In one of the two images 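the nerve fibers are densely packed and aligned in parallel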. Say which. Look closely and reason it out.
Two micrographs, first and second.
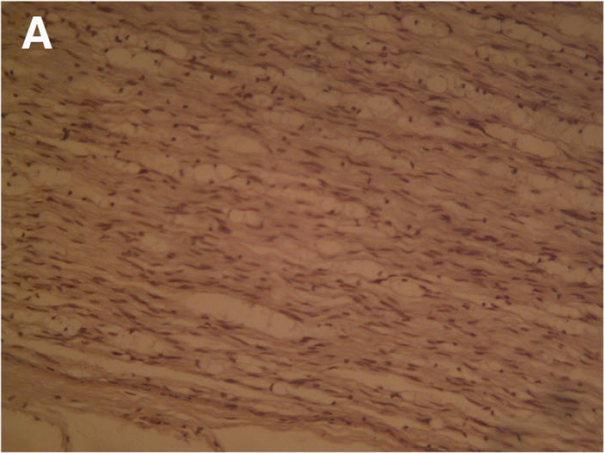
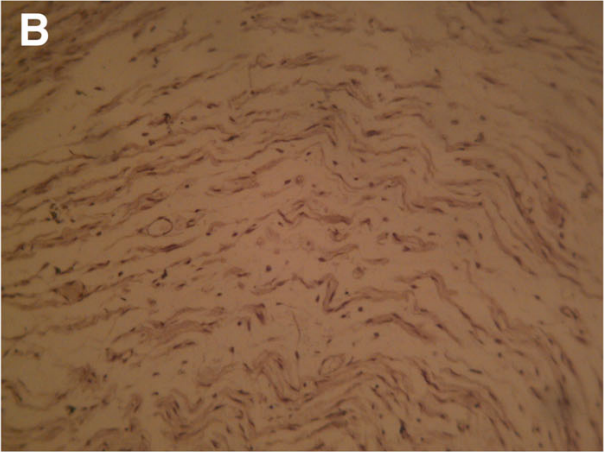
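Second image: fibers are sparse, thin and wavy, with large pale gaps between them. First image: fibers lie tightly packed and run parallel across the field. The answer: the first image.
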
